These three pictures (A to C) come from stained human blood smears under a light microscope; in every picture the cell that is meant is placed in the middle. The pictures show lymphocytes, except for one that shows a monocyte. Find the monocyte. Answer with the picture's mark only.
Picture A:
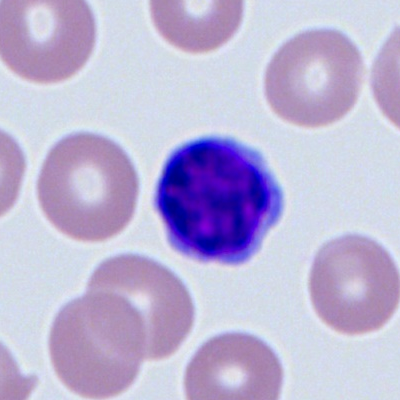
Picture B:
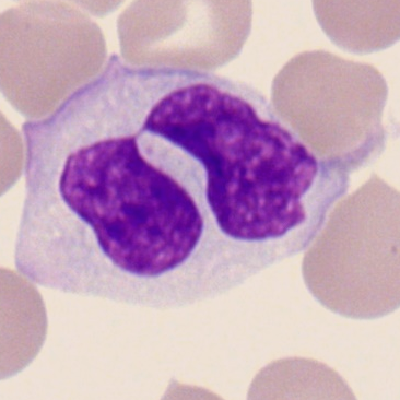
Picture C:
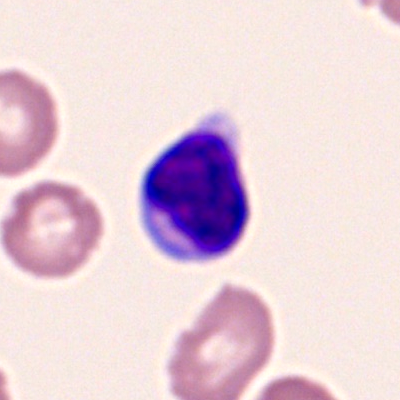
B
